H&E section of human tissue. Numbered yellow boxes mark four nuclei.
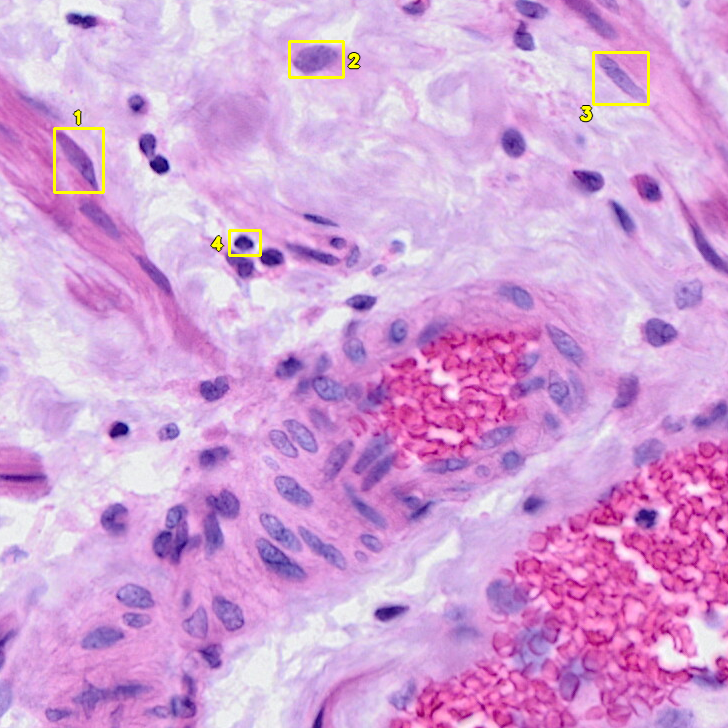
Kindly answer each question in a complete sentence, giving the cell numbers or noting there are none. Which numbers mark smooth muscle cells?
The cells numbered 1 and 3 are typed as smooth muscle cells.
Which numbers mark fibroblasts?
The numbered cell that is a fibroblast is cell 2, and it is the only one.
